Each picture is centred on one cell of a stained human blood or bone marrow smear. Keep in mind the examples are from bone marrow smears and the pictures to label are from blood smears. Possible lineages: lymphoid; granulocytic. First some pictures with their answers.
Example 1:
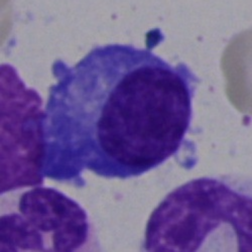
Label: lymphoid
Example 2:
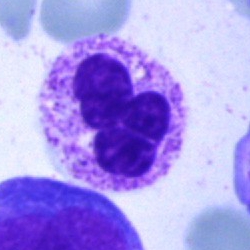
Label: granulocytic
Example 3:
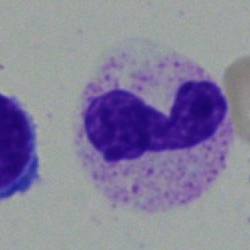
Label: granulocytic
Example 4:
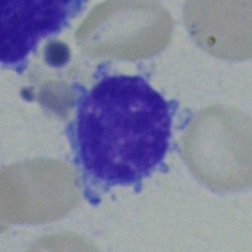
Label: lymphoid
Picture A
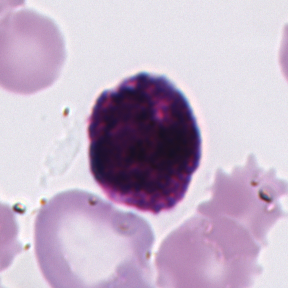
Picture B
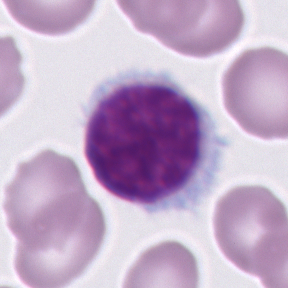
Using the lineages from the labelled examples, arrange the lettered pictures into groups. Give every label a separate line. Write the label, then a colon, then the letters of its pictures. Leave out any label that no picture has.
lymphoid: B
granulocytic: A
